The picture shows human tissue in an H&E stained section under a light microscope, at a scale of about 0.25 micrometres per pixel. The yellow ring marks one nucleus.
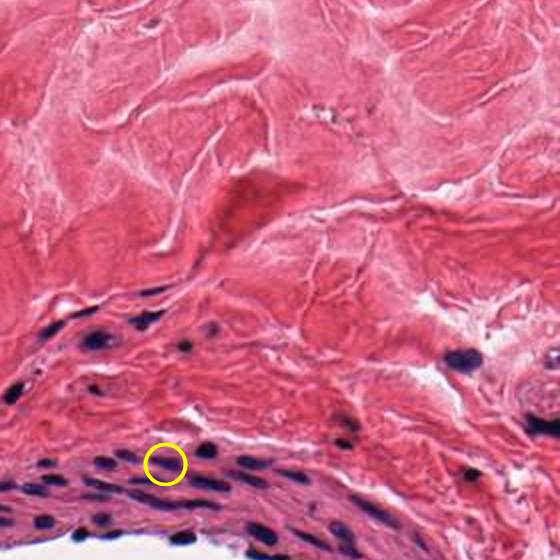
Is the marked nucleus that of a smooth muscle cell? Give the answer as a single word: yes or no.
yes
